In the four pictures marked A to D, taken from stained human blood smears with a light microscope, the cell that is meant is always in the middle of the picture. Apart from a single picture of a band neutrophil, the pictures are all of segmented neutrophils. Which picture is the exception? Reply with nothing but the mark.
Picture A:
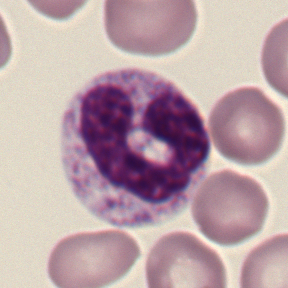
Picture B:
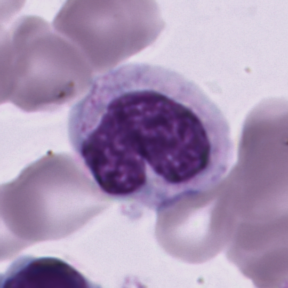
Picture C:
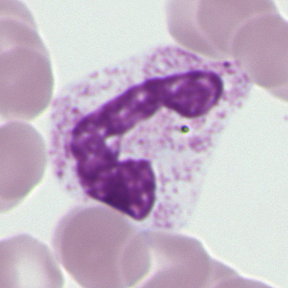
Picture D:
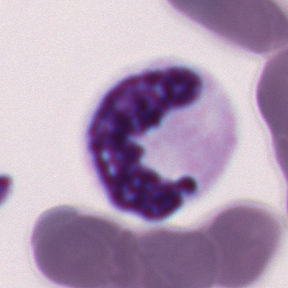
B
